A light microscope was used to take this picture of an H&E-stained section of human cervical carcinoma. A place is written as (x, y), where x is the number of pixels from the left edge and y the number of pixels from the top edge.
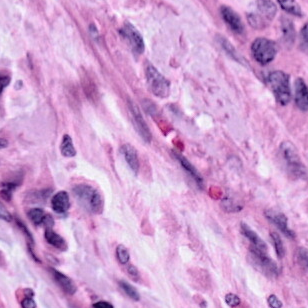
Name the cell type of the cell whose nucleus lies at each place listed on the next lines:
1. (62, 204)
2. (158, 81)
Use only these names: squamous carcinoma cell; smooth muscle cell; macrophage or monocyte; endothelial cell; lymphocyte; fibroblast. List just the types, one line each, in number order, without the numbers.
lymphocyte
fibroblast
